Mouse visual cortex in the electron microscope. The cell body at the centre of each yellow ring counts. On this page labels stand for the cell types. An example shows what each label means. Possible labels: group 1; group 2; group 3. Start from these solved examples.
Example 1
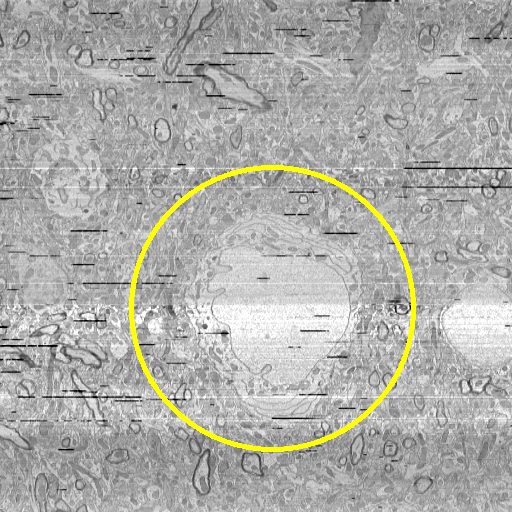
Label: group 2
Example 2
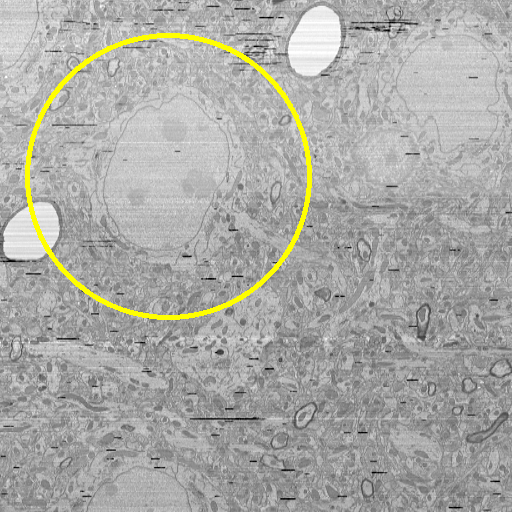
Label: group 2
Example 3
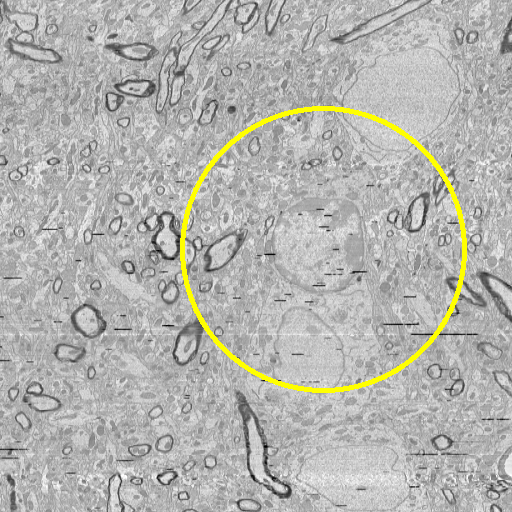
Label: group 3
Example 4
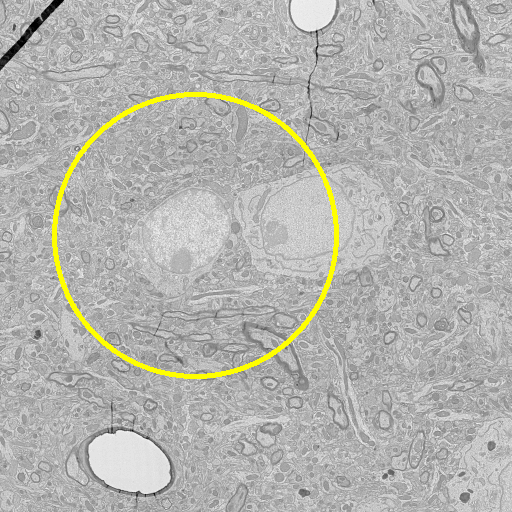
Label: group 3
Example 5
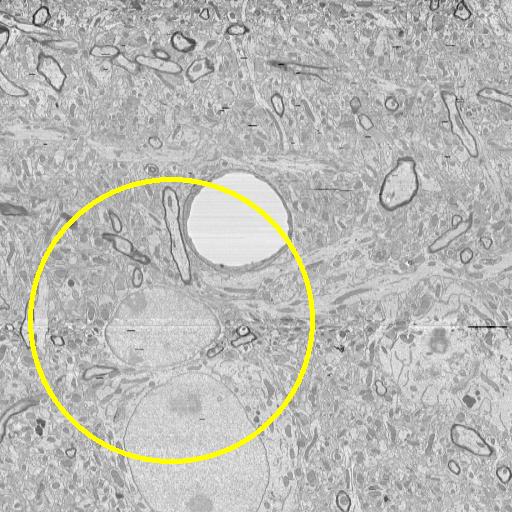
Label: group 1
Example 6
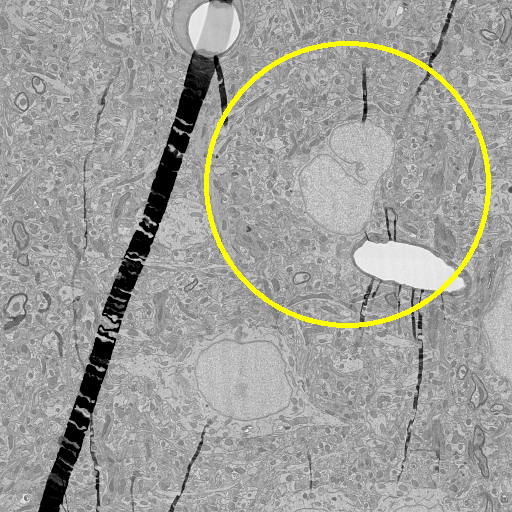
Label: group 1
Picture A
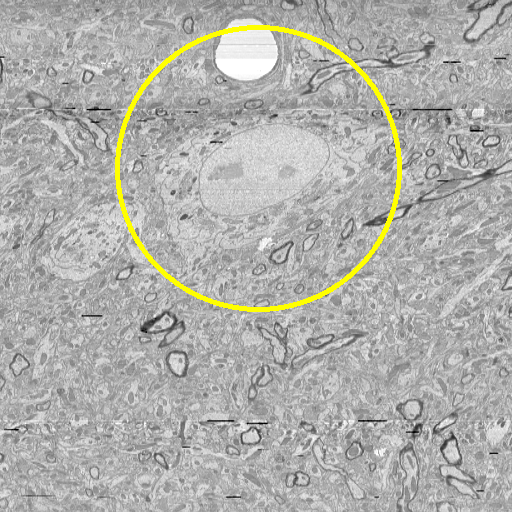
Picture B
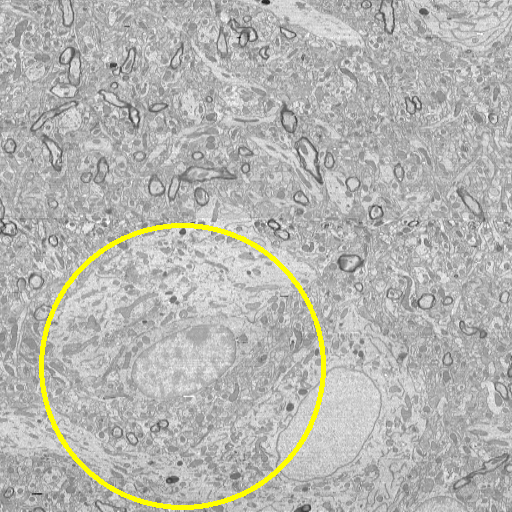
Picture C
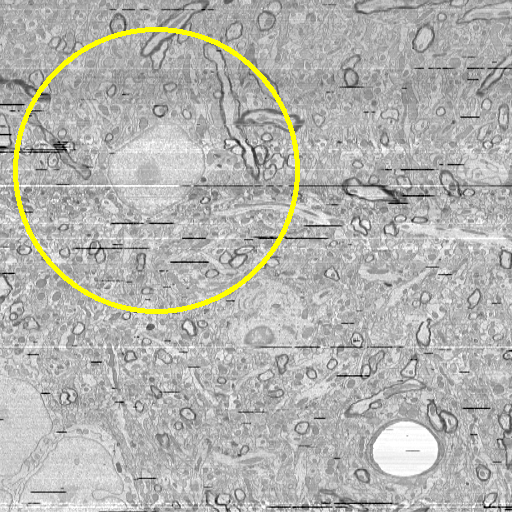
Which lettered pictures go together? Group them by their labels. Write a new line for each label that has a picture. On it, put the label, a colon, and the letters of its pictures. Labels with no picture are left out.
group 1: C
group 2: A
group 3: B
